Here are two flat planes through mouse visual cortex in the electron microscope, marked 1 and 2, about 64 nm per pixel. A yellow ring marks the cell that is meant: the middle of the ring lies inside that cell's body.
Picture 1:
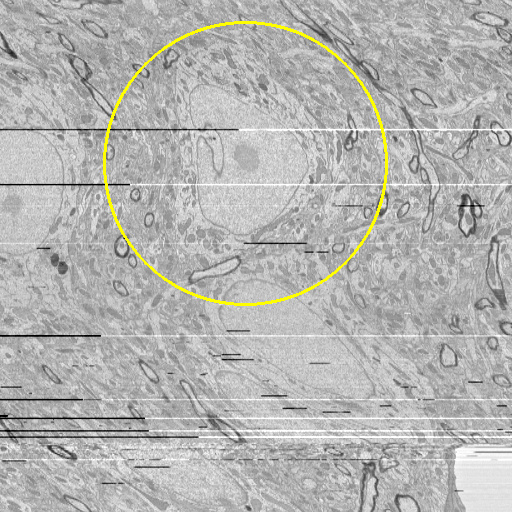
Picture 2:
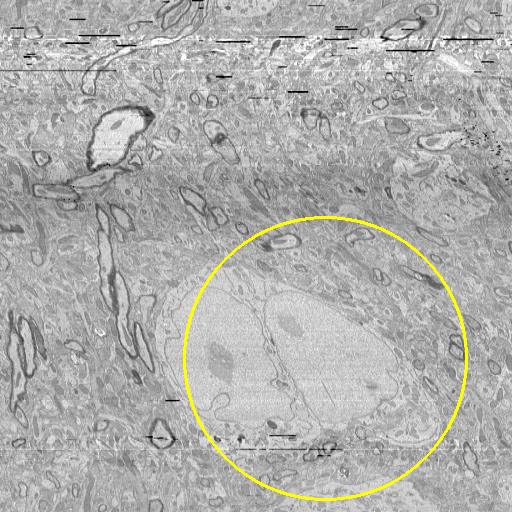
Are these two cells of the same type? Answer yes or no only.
yes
